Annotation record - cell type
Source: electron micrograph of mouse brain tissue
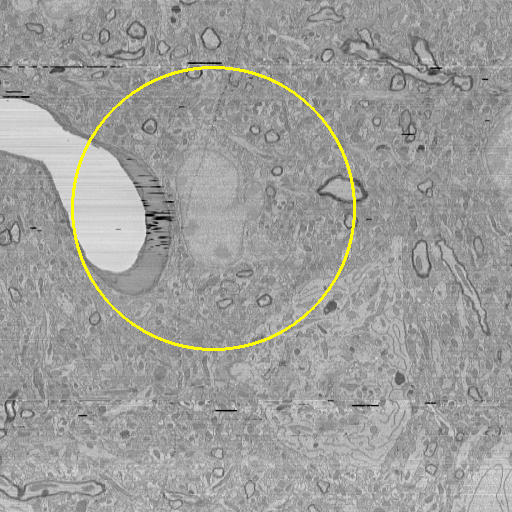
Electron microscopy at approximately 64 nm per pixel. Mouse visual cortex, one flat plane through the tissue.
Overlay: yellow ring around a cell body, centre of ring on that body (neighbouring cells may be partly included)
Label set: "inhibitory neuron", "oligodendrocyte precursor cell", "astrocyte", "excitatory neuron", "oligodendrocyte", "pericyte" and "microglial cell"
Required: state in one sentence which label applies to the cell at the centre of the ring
This cell should be labelled as an astrocyte.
